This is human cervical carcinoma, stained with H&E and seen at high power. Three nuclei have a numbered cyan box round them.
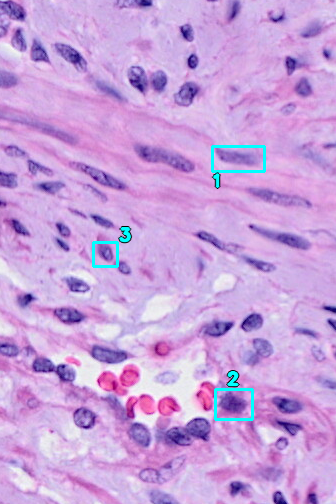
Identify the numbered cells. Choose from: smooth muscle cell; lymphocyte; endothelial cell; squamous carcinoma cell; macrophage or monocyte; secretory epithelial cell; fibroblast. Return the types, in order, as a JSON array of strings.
["smooth muscle cell", "endothelial cell", "smooth muscle cell"]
